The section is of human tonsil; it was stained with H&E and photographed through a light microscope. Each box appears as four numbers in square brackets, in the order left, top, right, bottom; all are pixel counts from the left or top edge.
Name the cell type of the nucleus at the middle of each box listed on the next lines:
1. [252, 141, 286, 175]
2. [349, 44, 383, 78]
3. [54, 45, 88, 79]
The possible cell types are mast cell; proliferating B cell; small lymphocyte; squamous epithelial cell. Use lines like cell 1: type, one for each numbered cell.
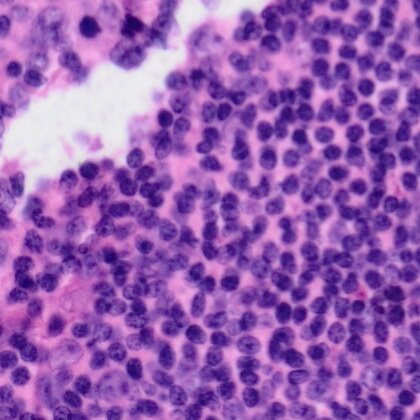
cell 1: small lymphocyte
cell 2: small lymphocyte
cell 3: proliferating B cell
